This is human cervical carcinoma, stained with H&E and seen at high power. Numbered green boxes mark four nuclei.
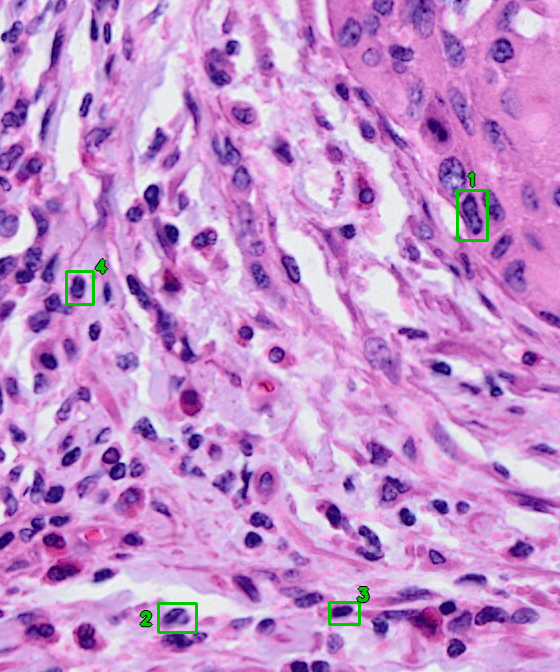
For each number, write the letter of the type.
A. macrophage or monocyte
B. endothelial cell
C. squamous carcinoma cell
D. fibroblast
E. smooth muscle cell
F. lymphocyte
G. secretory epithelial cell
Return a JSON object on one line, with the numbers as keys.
{"1": "C", "2": "F", "3": "F", "4": "F"}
